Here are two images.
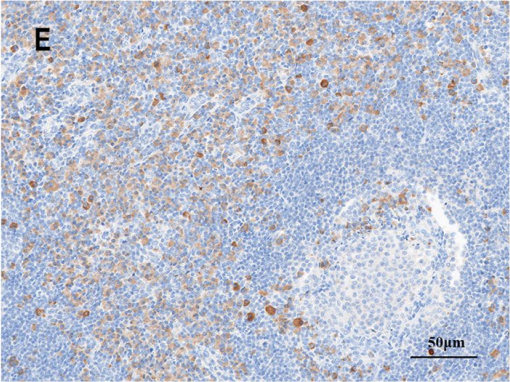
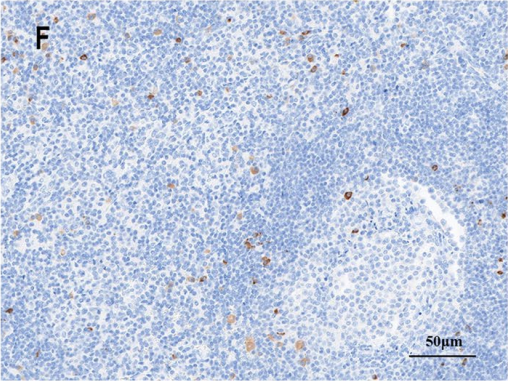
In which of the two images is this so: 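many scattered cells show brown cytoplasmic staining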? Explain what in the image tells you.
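Second image: only a few isolated cells are brown; the field is almost entirely blue. First image: numerous cells in the upper left show brown cytoplasmic staining. On this evidence: the first image.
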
